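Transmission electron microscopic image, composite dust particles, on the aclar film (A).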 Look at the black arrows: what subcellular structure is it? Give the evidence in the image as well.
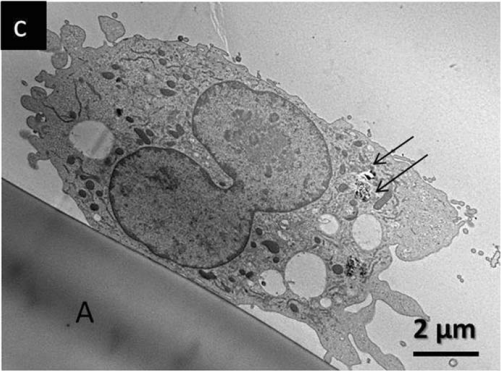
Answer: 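The arrows point to small membrane-bound clusters of dense particulate material in the cytoplasm.
Answer: phagosomes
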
